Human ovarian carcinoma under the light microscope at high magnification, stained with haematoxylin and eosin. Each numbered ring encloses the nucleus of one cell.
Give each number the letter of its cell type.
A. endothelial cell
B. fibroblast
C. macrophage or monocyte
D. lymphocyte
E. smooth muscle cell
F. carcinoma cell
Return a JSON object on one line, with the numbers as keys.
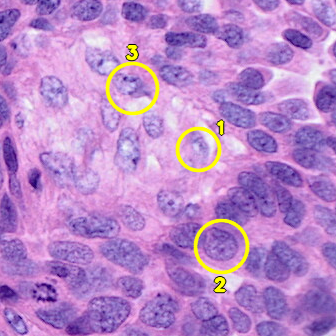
{"1": "B", "2": "F", "3": "B"}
